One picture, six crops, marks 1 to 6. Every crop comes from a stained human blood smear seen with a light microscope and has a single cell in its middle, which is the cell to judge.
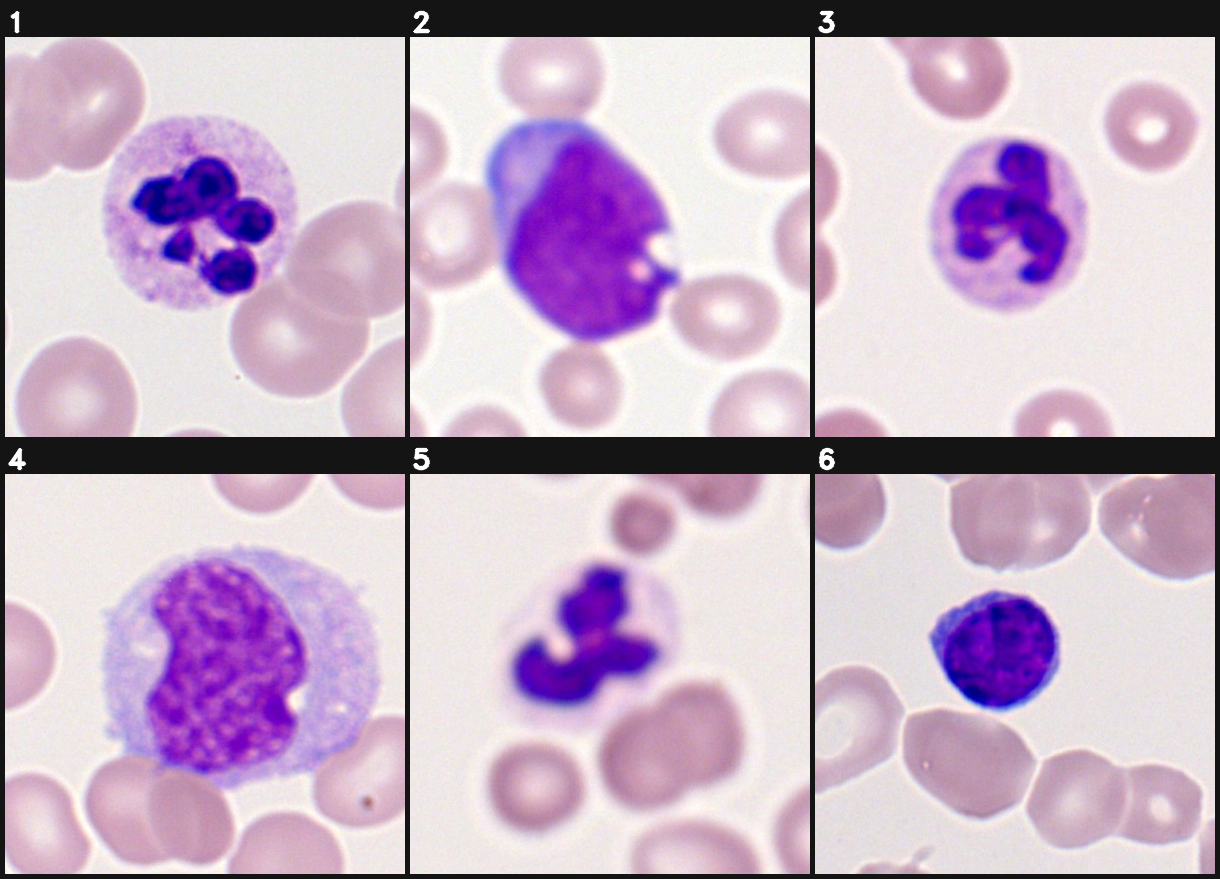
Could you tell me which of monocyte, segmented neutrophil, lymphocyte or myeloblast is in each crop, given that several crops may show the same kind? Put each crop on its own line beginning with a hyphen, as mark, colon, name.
- 1: segmented neutrophil
- 2: myeloblast
- 3: segmented neutrophil
- 4: monocyte
- 5: segmented neutrophil
- 6: lymphocyte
